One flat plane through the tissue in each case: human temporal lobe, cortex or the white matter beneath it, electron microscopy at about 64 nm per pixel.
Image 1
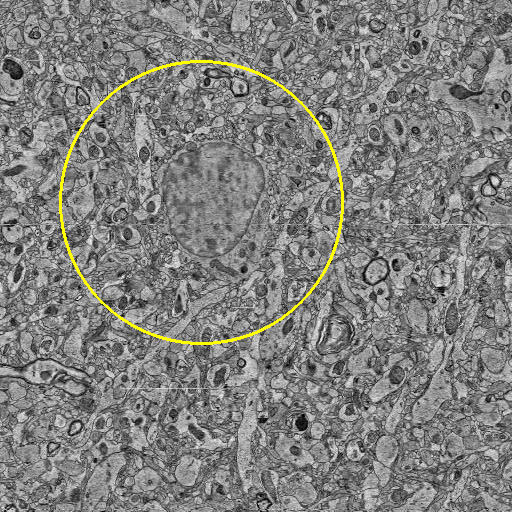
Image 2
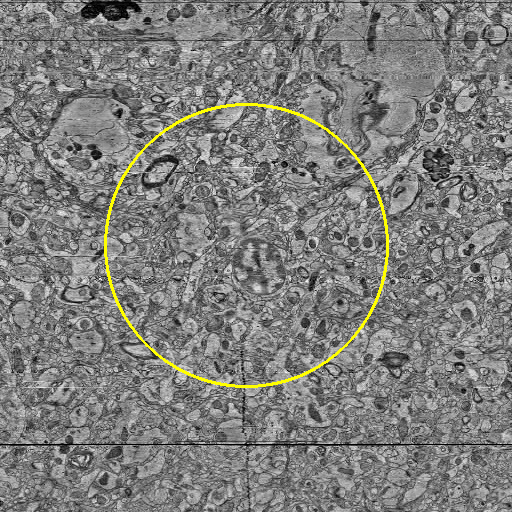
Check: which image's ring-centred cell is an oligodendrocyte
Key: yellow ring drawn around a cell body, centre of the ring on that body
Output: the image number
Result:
1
